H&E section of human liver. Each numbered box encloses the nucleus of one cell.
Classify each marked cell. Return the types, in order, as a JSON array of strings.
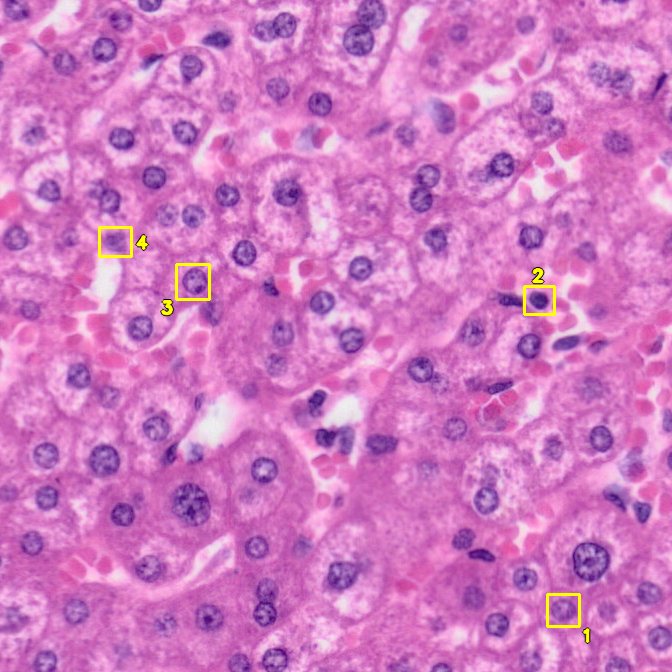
["hepatocyte", "lymphocyte", "hepatocyte", "endothelial cell"]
